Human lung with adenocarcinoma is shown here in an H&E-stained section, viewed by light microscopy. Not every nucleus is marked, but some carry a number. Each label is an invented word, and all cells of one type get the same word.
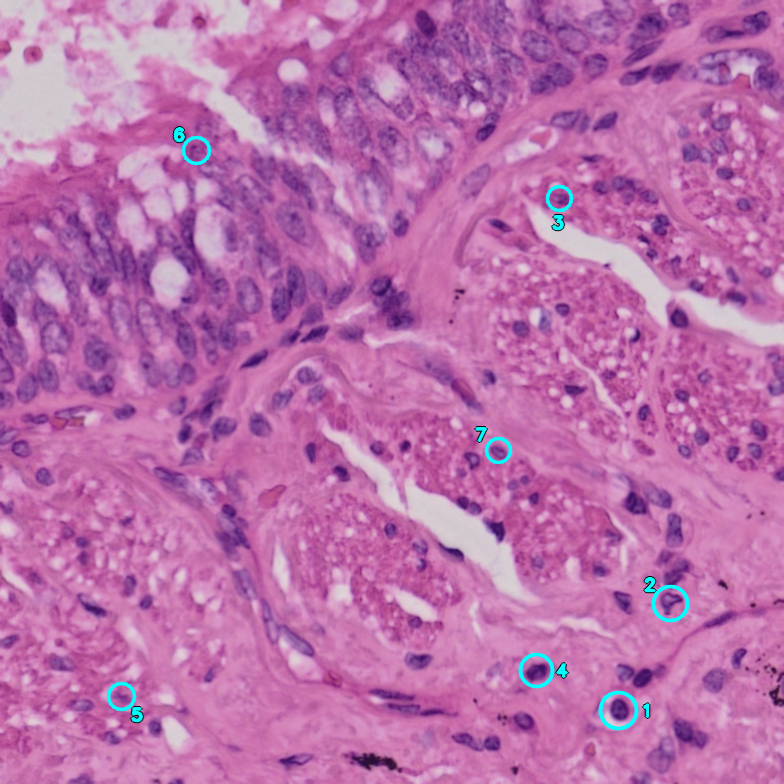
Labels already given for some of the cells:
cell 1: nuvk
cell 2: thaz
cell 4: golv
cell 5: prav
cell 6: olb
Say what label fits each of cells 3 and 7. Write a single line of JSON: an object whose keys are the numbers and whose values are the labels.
{"3": "prav", "7": "prav"}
